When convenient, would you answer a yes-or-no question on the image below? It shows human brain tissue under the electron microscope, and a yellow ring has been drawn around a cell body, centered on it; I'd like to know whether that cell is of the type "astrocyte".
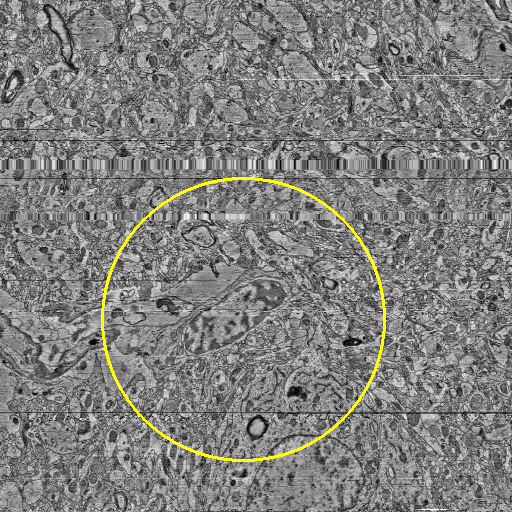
no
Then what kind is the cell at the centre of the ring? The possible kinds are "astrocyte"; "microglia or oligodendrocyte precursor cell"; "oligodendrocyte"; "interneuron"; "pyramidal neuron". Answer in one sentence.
The cell marked by the ring is a microglial cell or oligodendrocyte precursor cell.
